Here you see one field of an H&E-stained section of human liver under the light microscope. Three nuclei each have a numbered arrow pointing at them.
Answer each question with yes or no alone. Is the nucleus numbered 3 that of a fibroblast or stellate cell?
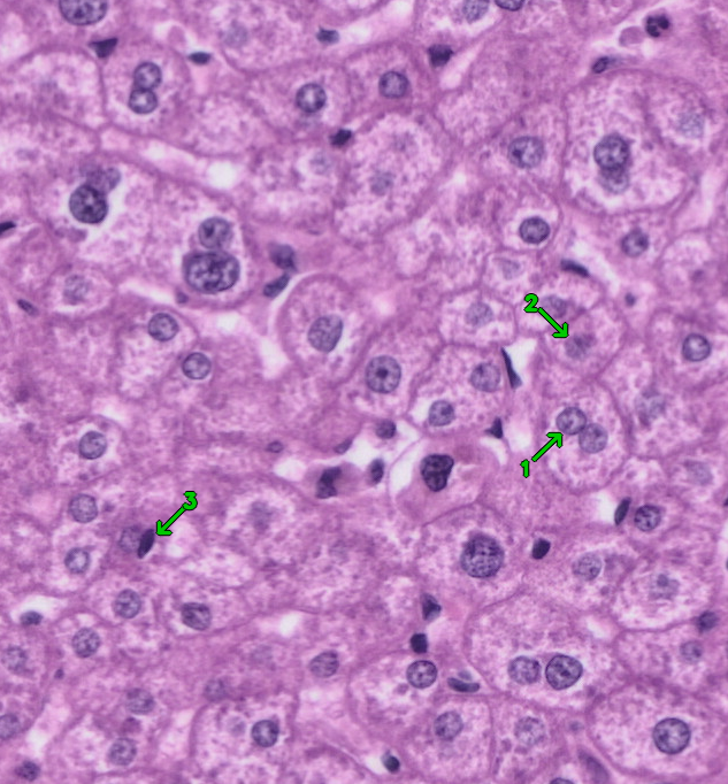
yes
